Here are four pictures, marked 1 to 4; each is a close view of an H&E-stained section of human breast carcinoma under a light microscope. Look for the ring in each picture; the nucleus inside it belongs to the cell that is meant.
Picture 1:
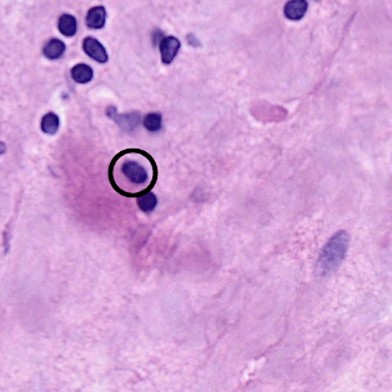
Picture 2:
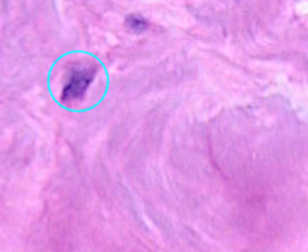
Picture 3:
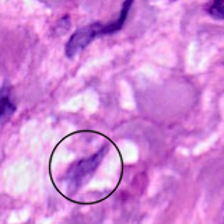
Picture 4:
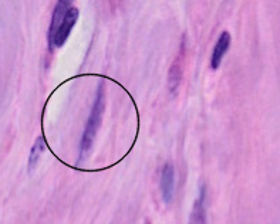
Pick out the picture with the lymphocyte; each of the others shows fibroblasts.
1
